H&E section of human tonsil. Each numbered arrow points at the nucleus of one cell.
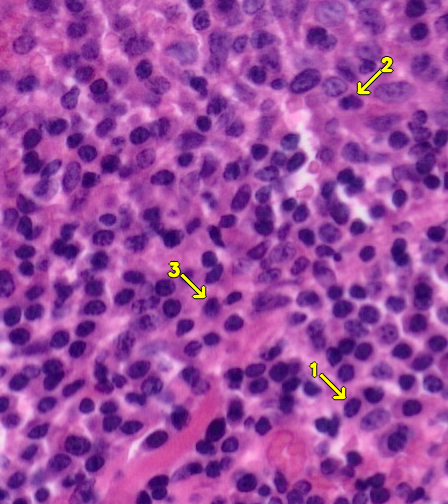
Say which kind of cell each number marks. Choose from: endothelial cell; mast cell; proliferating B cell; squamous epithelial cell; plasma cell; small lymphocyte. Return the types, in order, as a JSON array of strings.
["plasma cell", "squamous epithelial cell", "plasma cell"]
